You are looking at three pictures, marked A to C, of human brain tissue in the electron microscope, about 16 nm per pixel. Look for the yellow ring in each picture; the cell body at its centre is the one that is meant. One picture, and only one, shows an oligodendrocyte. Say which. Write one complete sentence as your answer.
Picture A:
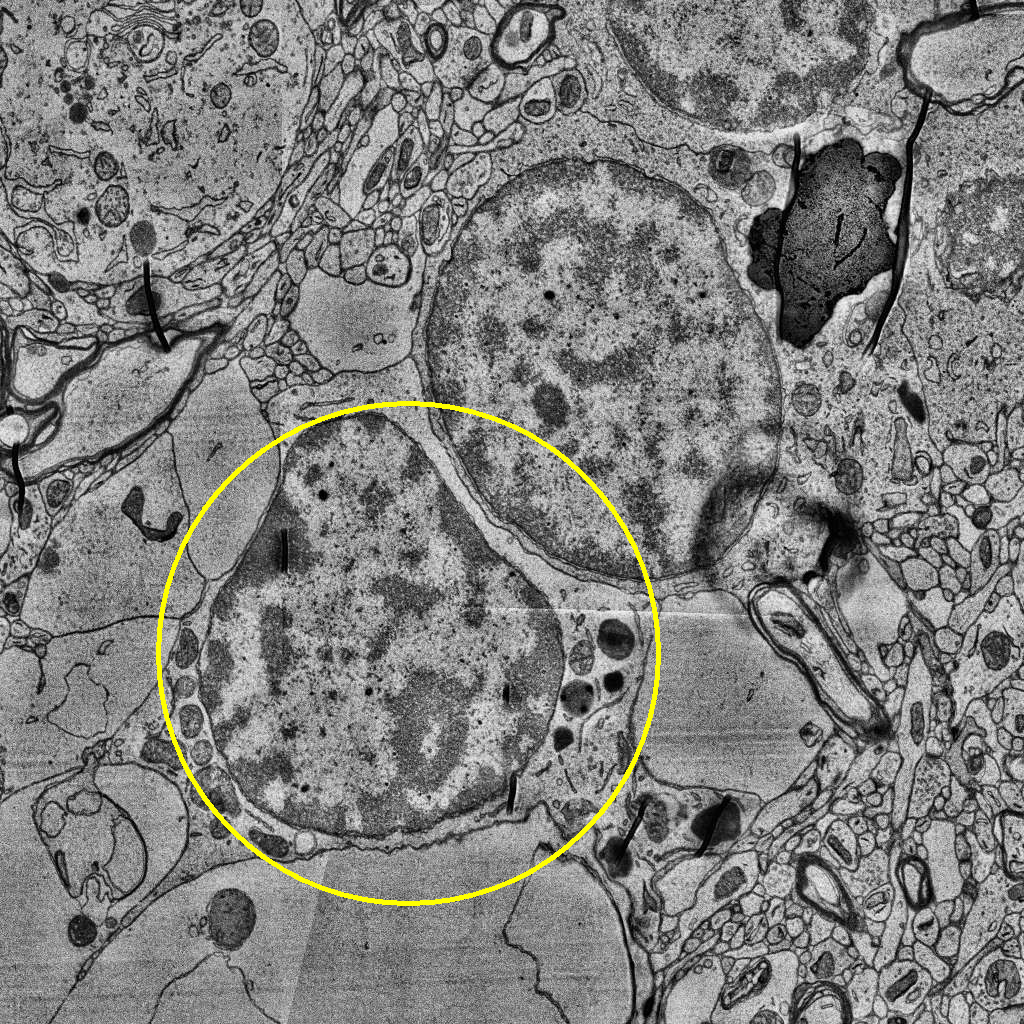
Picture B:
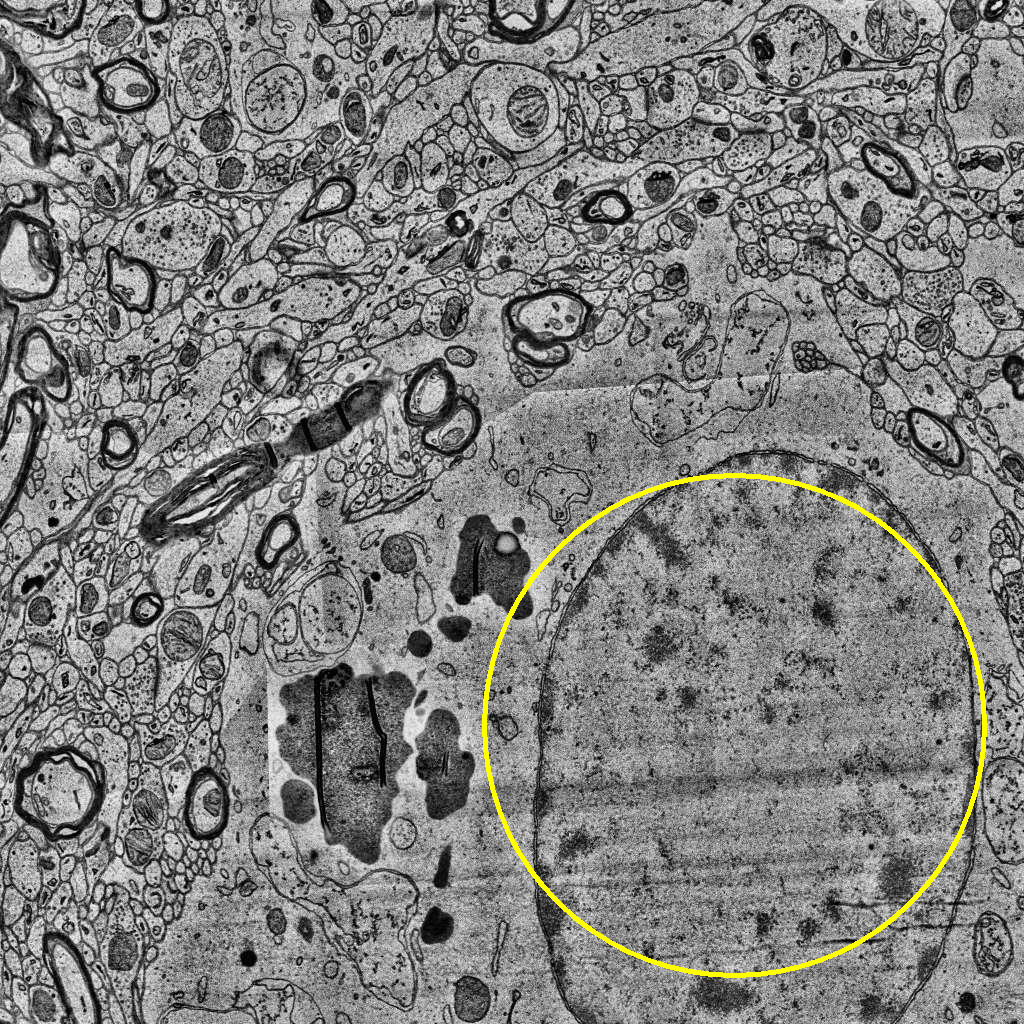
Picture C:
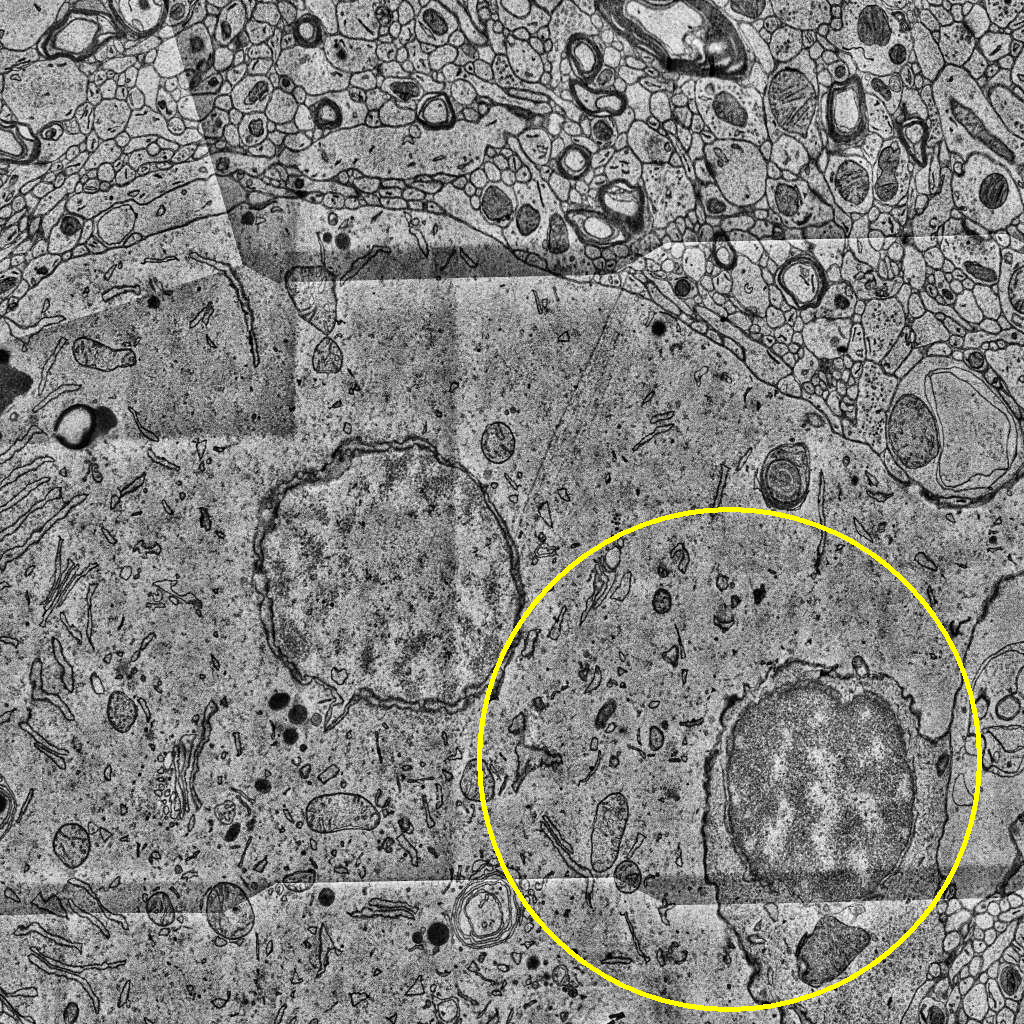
It is picture C that shows the oligodendrocyte.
